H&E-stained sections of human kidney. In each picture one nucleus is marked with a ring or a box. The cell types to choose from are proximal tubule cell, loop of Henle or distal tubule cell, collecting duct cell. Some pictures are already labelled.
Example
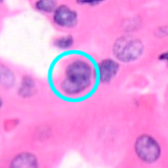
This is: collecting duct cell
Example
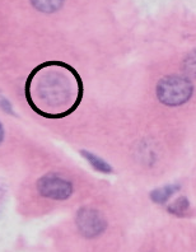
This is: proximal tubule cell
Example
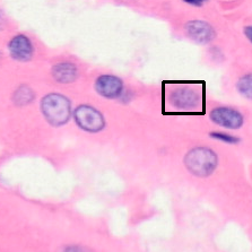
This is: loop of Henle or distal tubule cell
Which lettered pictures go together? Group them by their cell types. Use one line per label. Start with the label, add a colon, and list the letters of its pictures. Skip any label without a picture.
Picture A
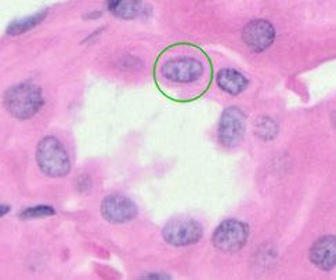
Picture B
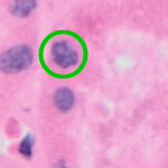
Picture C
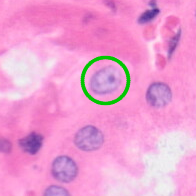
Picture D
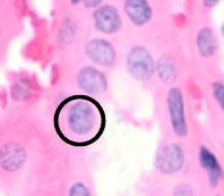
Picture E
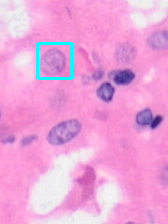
proximal tubule cell: B, C, E
collecting duct cell: A, D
